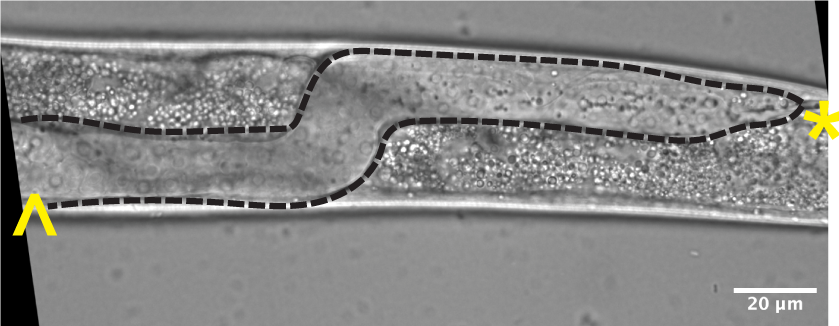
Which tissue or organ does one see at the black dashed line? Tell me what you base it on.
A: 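Gonads. The dashed line encloses a tube running along the length of the worm. The tube steps from the ventral to the dorsal side partway along its length.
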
